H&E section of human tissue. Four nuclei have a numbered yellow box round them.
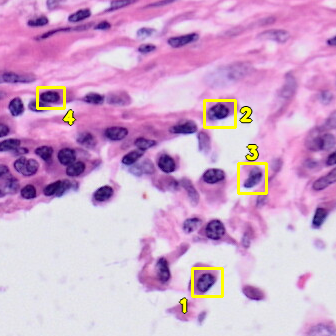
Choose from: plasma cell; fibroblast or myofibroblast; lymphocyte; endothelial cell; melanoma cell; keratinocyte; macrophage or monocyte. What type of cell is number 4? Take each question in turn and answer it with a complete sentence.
Cell 4, as marked in the section, is a plasma cell.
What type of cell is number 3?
Regarding cell 3, this one is a lymphocyte.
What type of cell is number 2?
That cell with number 2 is a plasma cell.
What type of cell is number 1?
In this section, the cell tagged 1 is a plasma cell.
